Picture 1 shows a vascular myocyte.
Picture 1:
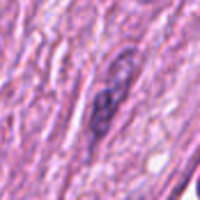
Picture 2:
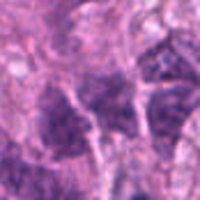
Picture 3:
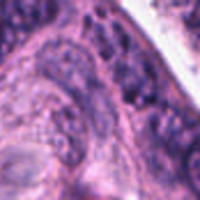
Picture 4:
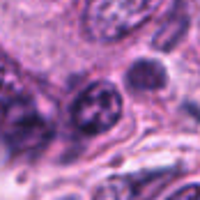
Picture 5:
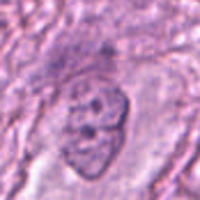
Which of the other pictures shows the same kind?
Picture 2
